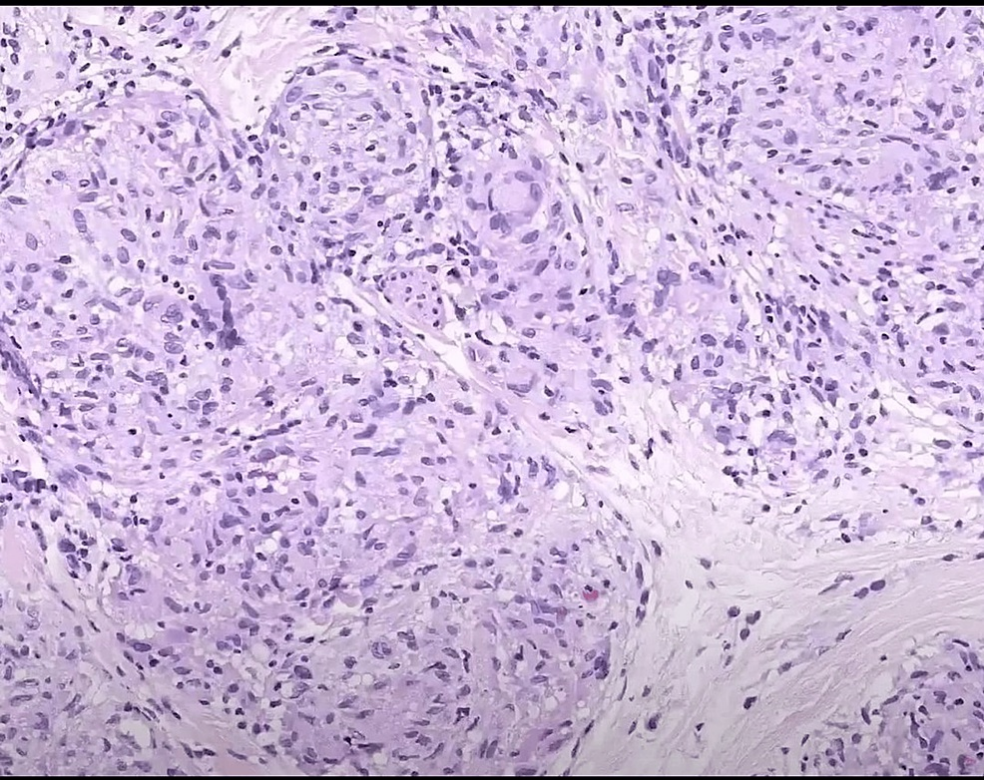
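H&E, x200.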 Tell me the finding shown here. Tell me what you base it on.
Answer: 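Granulomatous reaction. Rounded nodules of pale cells are separated by bands of paler fibrous tissue. Small dark round nuclei gather at the edges of the nodules.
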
